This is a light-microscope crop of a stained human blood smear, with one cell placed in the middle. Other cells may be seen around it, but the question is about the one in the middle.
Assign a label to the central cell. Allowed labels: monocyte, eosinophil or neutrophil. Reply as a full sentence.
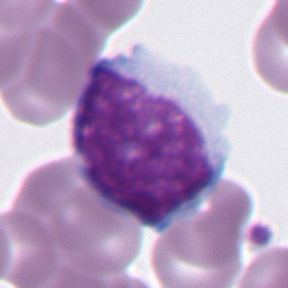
The centrally positioned cell in the crop represents a monocyte.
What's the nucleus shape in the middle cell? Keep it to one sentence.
The nucleus amounts to one compact mass with a round, oval or kidney-shaped outline.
